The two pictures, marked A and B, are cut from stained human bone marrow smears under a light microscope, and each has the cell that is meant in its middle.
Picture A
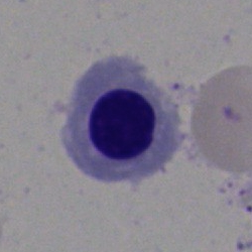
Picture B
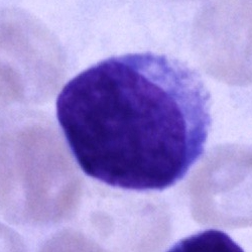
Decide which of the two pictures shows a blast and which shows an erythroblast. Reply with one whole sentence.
In picture A the cell is an erythroblast; in picture B, a blast.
